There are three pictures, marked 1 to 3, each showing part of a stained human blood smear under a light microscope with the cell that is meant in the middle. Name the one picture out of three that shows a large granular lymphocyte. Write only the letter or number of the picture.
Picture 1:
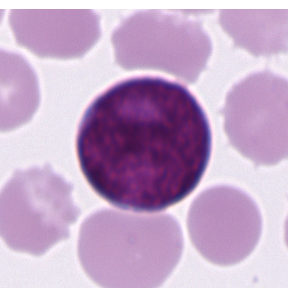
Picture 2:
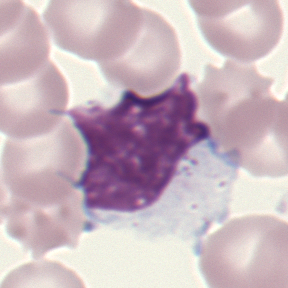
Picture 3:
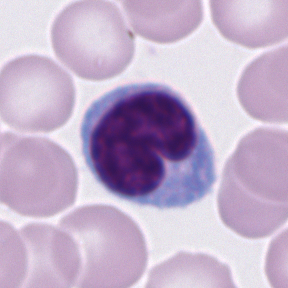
2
